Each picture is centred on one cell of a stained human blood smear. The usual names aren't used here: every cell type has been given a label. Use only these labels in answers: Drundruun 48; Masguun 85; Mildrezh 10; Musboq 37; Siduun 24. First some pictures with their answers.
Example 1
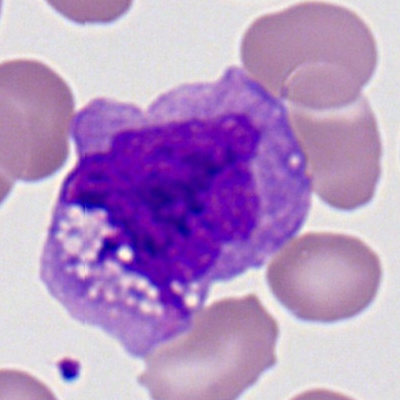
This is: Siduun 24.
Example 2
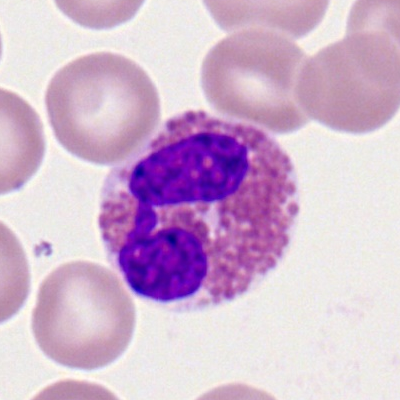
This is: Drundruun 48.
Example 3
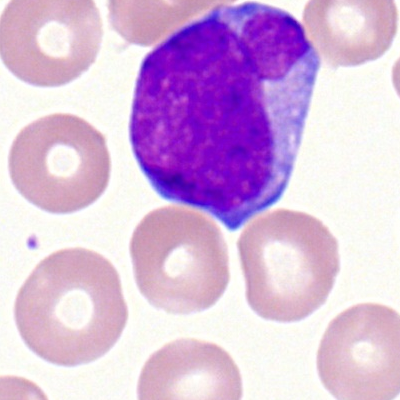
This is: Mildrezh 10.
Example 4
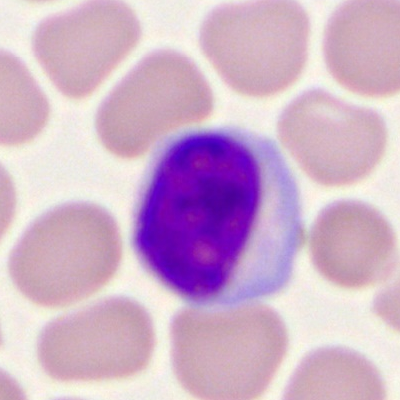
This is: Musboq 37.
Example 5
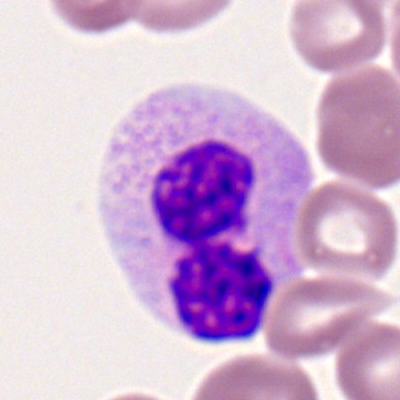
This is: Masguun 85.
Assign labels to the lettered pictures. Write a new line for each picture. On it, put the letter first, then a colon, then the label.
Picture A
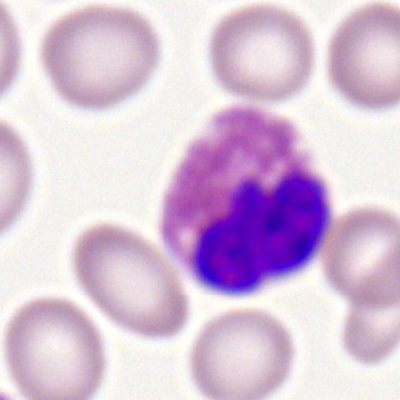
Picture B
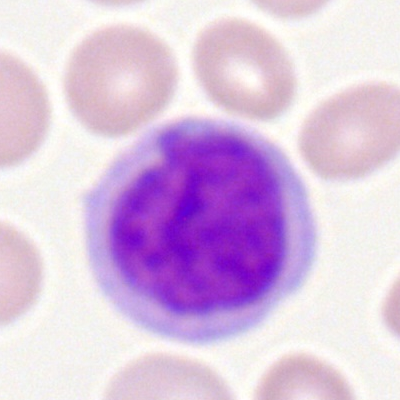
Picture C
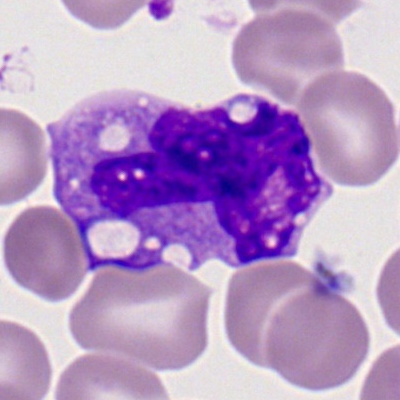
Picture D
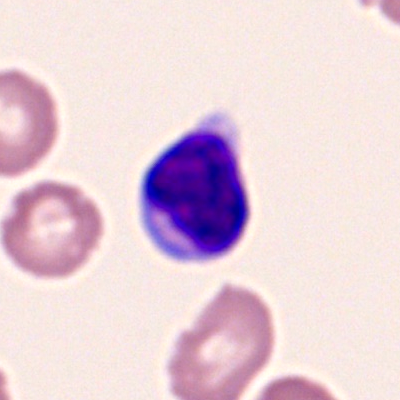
A: Drundruun 48.
B: Siduun 24.
C: Siduun 24.
D: Musboq 37.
